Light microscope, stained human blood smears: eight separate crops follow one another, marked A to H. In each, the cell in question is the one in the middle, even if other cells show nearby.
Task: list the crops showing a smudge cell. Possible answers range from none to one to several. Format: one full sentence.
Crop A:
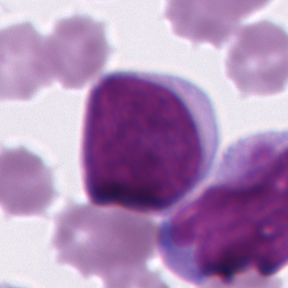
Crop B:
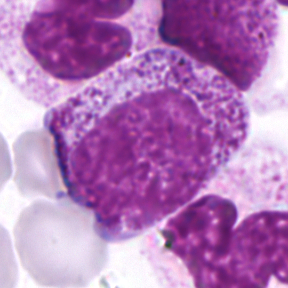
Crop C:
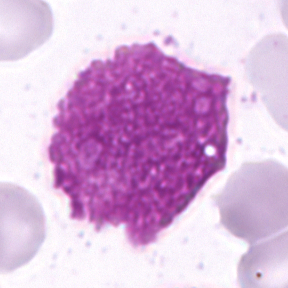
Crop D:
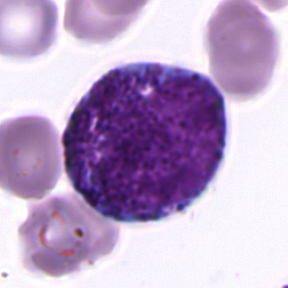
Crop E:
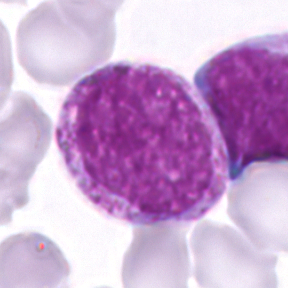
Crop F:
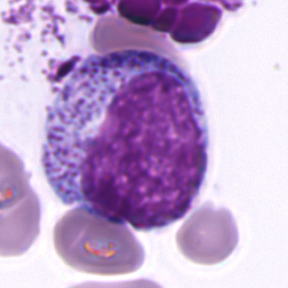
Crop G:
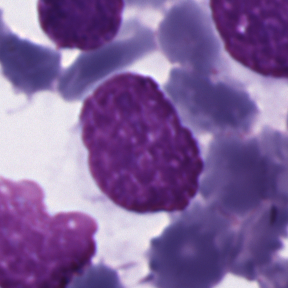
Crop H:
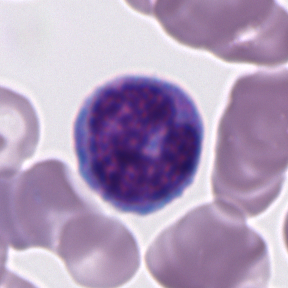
The cells in the middle of crops C and G count as smudge cells.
